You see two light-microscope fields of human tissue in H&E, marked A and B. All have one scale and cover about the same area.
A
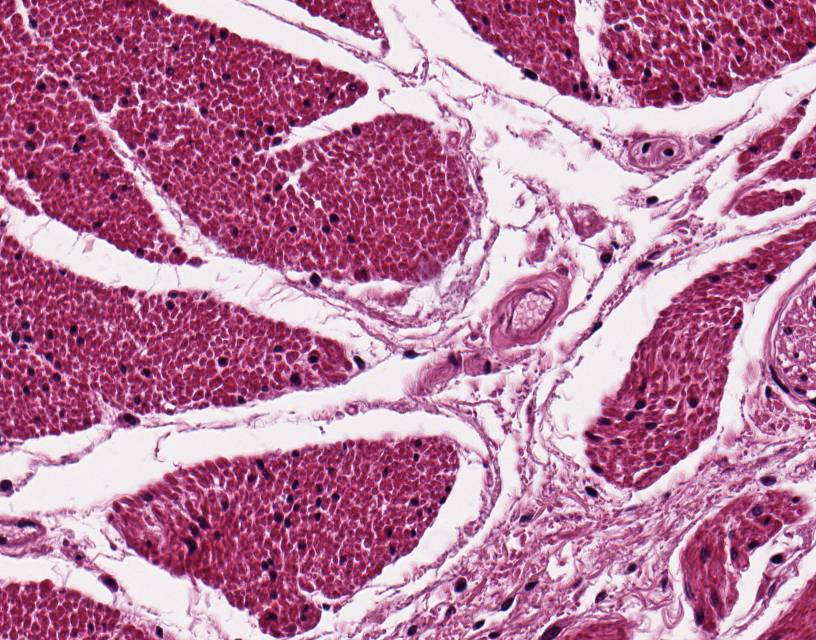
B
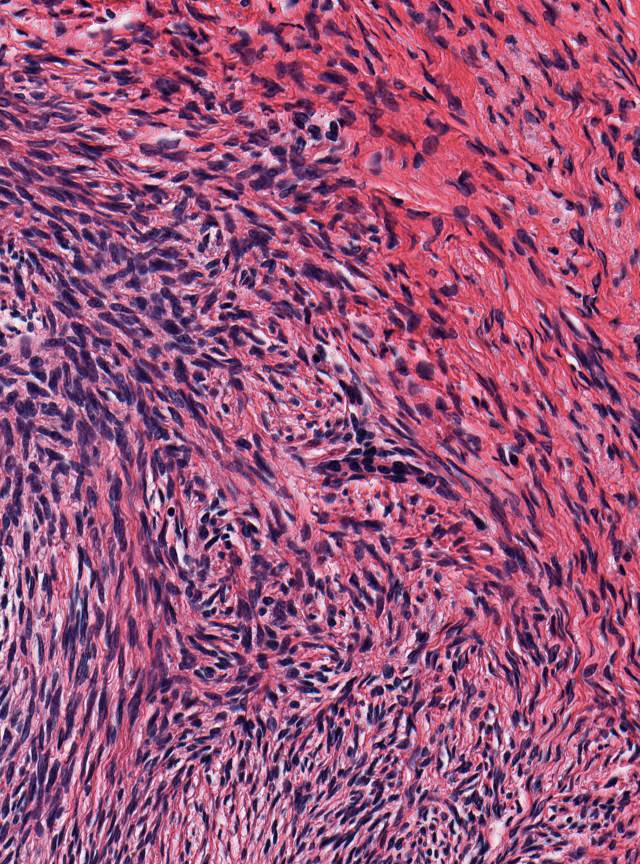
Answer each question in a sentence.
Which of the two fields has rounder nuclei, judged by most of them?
The nuclei are rounder in field A.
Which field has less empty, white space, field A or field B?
Unstained space takes up less of field B than of field A.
